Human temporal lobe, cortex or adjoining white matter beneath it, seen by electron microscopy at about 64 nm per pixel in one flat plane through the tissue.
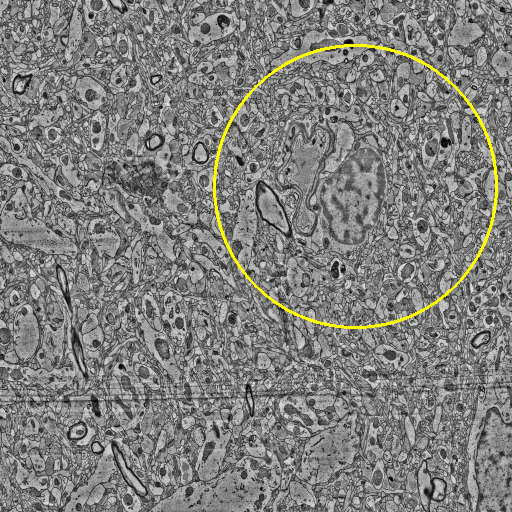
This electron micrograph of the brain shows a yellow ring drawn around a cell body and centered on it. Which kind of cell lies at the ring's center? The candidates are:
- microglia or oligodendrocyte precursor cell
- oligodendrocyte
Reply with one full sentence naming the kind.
The cell lying at the ring's center in this micrograph is an oligodendrocyte.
